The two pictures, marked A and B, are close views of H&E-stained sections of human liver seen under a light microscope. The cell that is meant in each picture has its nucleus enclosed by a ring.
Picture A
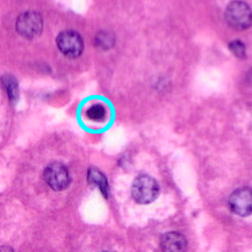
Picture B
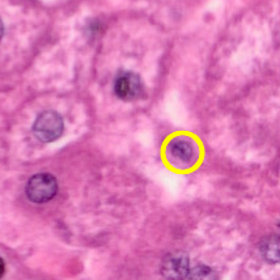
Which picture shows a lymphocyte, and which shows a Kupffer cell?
A: lymphocyte
B: Kupffer cell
